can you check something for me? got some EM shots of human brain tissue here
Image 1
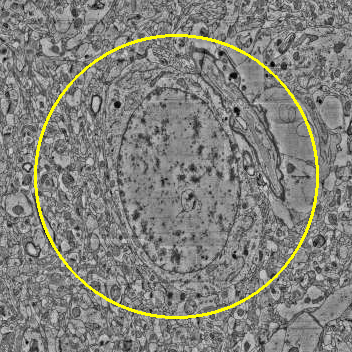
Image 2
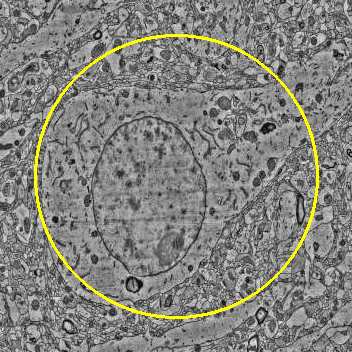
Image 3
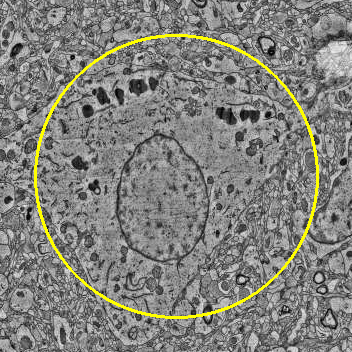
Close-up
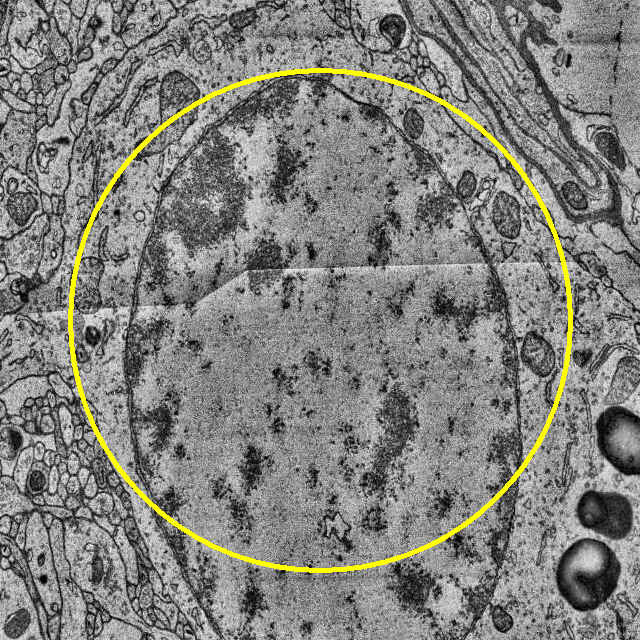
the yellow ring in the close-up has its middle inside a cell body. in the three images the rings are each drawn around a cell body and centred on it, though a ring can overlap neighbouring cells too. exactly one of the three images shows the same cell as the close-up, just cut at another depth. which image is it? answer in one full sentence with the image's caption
The close-up shows in detail the cell ringed in Image 1.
